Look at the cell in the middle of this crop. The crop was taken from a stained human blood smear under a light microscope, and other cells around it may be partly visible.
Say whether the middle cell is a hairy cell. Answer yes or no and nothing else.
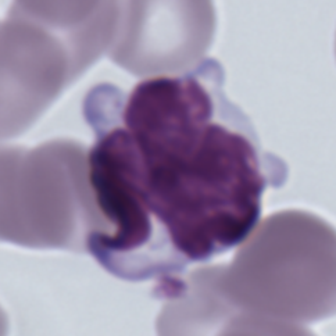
no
